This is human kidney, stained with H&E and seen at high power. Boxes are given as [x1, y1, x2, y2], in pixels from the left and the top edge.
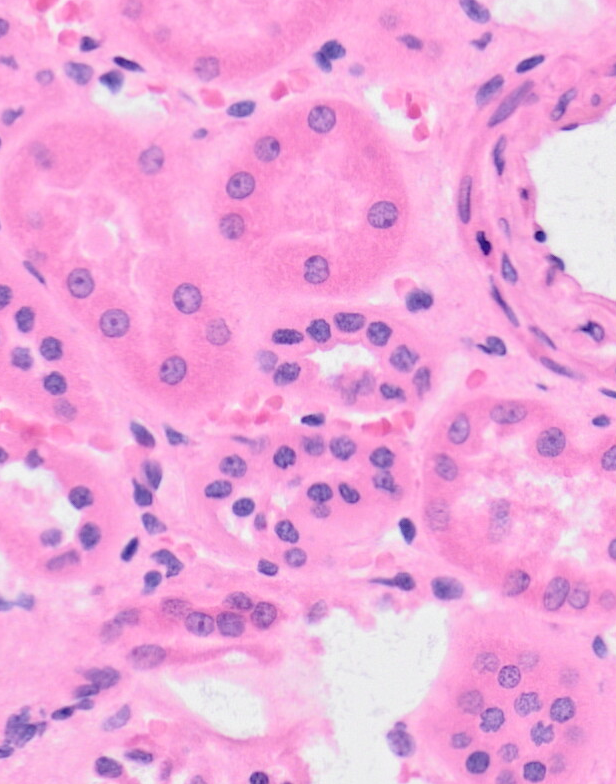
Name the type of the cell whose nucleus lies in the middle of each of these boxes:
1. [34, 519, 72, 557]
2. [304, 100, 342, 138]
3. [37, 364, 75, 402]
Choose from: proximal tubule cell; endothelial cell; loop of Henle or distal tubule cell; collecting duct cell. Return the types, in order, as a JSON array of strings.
["loop of Henle or distal tubule cell", "proximal tubule cell", "loop of Henle or distal tubule cell"]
